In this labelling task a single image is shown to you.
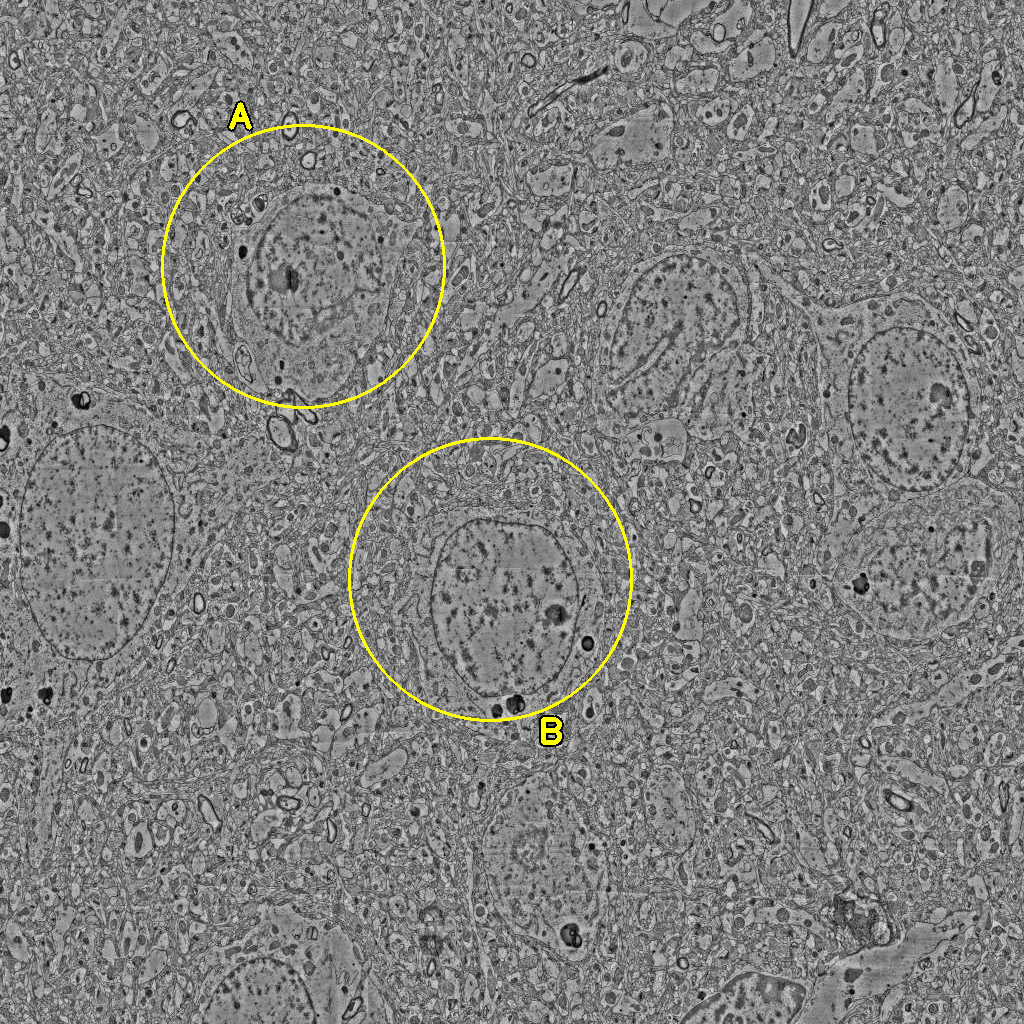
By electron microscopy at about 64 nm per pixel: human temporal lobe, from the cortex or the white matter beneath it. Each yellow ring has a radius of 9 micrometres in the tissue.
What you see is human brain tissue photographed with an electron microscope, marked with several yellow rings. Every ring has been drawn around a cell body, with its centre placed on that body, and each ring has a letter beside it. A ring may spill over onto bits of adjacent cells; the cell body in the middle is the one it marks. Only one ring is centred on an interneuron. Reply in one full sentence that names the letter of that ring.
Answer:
The ring centred on the cell asked for is the one marked A.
